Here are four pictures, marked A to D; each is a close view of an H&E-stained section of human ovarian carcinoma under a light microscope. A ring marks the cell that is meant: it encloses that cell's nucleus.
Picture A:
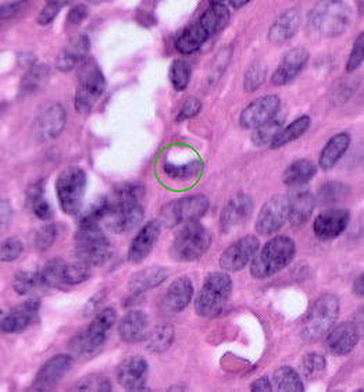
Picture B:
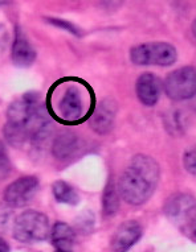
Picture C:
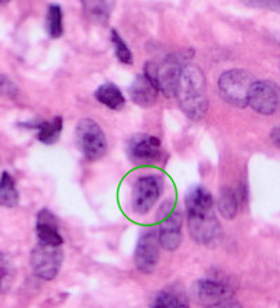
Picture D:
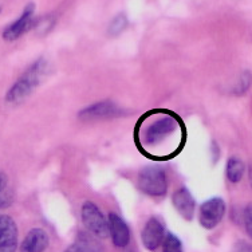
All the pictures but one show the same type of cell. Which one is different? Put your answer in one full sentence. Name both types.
The others show “macrophages or monocytes”, but picture A shows an endothelial cell.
